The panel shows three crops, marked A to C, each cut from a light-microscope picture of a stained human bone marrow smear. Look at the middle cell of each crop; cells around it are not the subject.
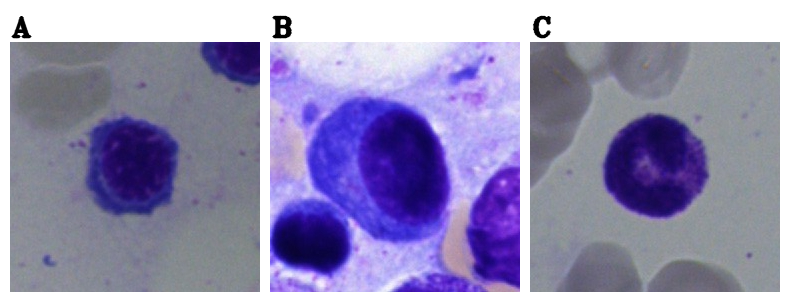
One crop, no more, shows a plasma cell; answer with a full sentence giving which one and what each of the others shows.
Crop B shows a plasma cell in its middle, while crop A is an erythroblast and crop C is a segmented neutrophil.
